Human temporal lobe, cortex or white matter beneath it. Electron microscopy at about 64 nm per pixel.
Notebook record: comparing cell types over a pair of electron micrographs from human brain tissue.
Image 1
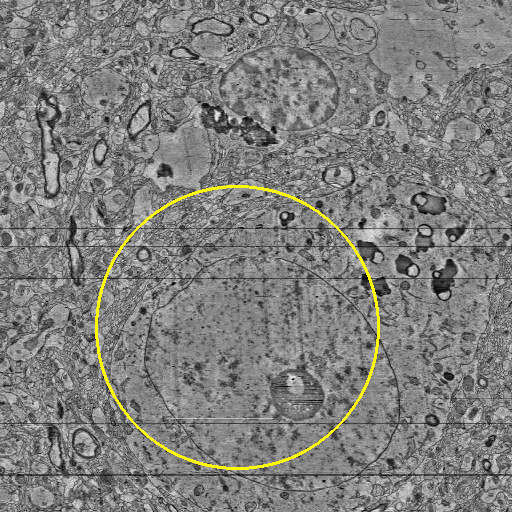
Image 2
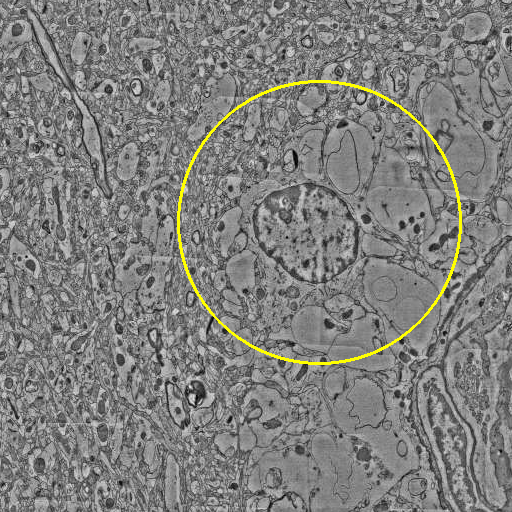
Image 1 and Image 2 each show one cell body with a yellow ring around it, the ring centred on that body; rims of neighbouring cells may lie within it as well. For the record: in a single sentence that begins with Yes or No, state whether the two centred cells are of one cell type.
No, two cell types are found among the centred cells of Image 1 and Image 2.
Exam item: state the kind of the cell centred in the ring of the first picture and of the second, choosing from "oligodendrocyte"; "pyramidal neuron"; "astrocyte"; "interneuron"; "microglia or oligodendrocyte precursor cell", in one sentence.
The first picture shows a pyramidal neuron at the ring centre and the second shows a microglial cell or oligodendrocyte precursor cell.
